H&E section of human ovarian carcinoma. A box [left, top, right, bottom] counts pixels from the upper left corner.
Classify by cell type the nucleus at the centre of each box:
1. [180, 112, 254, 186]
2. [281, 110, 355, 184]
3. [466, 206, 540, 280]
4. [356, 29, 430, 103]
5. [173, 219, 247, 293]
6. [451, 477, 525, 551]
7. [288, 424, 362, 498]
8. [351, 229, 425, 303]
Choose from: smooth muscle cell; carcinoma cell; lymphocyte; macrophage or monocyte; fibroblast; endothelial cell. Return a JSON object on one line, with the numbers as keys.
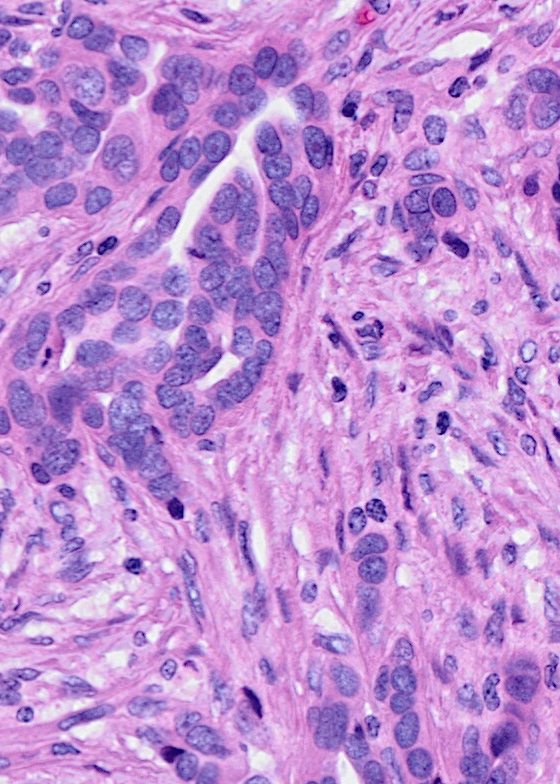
{"1": "carcinoma cell", "2": "carcinoma cell", "3": "fibroblast", "4": "fibroblast", "5": "carcinoma cell", "6": "fibroblast", "7": "fibroblast", "8": "fibroblast"}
